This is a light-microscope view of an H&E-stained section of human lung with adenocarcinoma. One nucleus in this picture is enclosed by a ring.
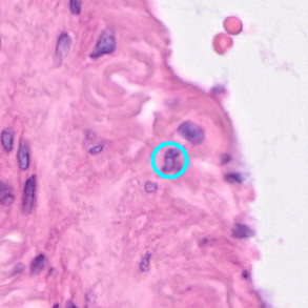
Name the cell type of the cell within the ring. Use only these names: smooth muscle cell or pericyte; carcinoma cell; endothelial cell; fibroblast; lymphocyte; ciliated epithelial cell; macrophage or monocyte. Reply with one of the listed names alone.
smooth muscle cell or pericyte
